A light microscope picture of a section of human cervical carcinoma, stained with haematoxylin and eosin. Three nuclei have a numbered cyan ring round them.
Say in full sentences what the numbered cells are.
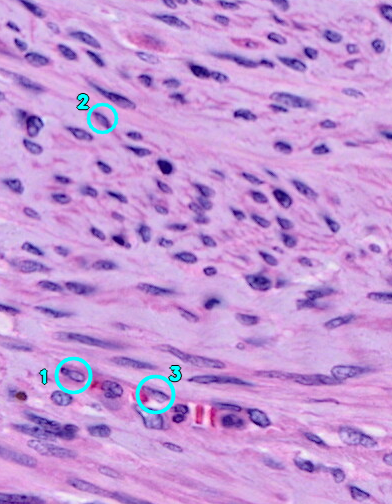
Cell 1 is an endothelial cell, cell 2 is a smooth muscle cell and cell 3 is an endothelial cell.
